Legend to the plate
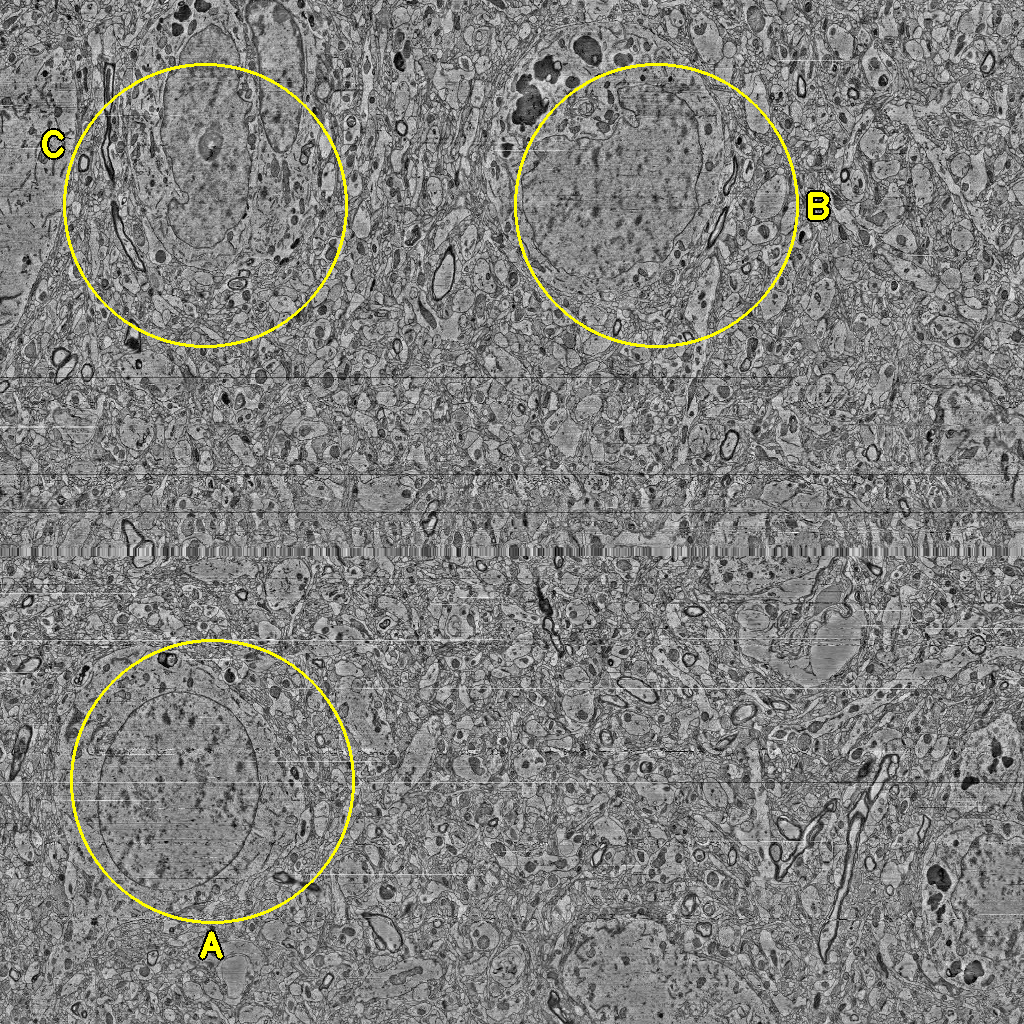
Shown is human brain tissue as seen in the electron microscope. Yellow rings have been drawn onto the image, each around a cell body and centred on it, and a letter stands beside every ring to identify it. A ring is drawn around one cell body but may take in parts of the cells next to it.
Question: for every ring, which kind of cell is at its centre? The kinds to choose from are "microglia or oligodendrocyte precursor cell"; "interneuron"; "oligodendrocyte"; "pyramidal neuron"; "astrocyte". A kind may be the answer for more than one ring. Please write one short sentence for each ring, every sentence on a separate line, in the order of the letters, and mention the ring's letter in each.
The kind of cell at the centre of ring A is a pyramidal neuron.
The kind of cell at the centre of ring B is an interneuron.
The kind of cell at the centre of ring C is an interneuron.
